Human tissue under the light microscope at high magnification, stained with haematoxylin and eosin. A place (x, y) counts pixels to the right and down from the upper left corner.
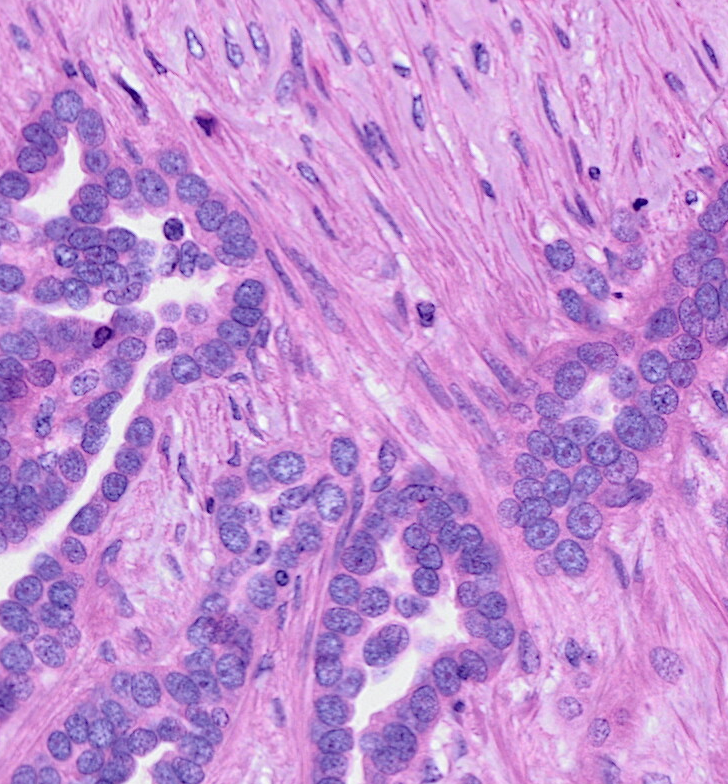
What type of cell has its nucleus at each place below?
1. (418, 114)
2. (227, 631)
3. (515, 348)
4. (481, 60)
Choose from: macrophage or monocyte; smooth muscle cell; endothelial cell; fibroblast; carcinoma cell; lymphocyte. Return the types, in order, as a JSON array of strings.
["fibroblast", "carcinoma cell", "fibroblast", "fibroblast"]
